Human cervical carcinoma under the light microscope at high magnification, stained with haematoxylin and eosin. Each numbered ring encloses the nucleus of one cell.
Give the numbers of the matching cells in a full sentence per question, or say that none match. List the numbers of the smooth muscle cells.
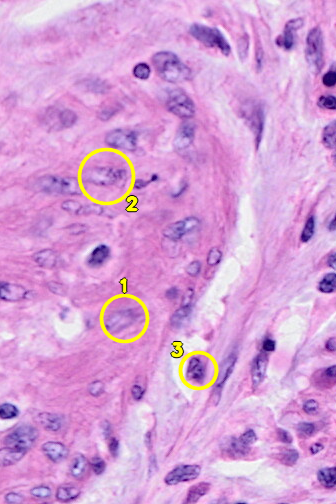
Identified as smooth muscle cells are the cells numbered 1 and 2.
